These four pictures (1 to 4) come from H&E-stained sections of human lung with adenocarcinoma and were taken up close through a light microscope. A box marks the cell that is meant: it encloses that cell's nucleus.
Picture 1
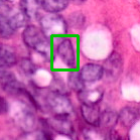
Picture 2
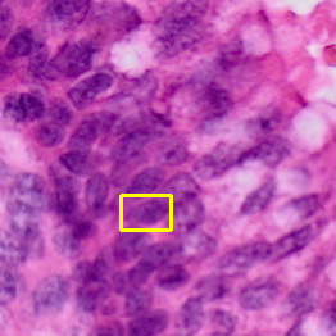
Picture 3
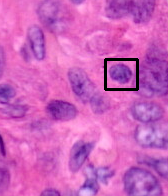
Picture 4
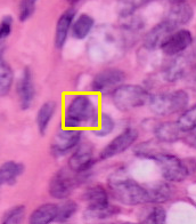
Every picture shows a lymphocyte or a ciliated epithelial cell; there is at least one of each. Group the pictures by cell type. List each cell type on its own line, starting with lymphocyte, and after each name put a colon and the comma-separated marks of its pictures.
lymphocyte: 3
ciliated epithelial cell: 1, 2, 4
